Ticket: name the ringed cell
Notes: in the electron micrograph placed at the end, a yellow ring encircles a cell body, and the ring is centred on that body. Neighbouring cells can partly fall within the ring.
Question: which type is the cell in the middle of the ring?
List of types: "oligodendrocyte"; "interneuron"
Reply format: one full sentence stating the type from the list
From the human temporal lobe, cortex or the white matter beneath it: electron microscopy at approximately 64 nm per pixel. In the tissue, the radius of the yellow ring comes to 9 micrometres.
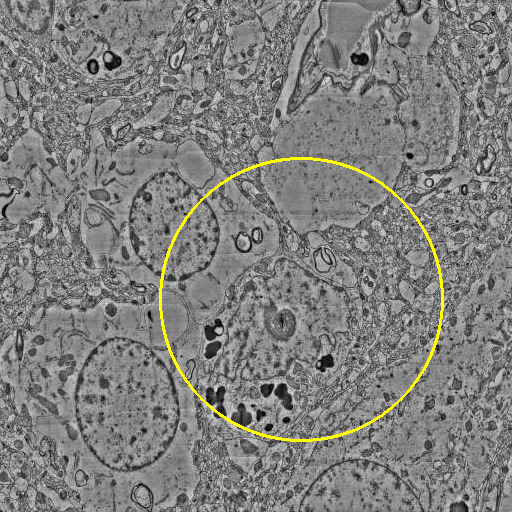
The cell sitting at the centre of the yellow ring is an interneuron.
